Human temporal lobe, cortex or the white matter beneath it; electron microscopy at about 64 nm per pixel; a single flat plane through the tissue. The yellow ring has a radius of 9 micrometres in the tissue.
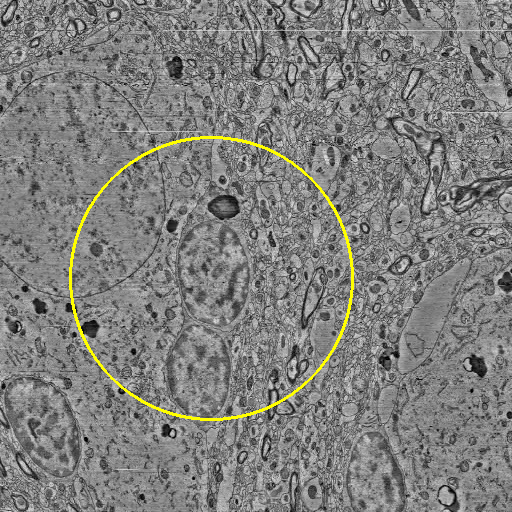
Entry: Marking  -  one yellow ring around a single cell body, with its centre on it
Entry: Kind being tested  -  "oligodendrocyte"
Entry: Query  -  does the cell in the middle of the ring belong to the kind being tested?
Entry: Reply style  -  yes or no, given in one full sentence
Yes, the centred cell within the ring in the picture does belong to the tested kind.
